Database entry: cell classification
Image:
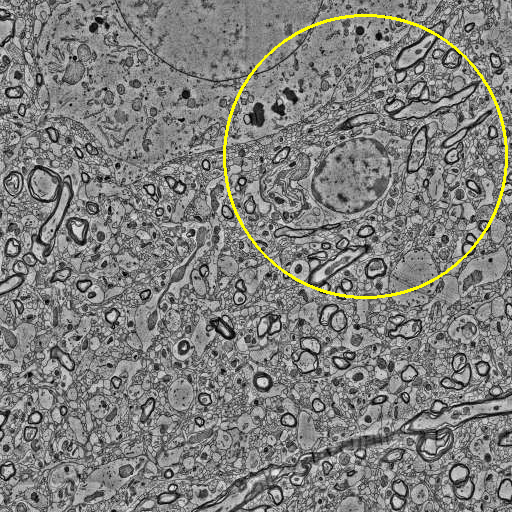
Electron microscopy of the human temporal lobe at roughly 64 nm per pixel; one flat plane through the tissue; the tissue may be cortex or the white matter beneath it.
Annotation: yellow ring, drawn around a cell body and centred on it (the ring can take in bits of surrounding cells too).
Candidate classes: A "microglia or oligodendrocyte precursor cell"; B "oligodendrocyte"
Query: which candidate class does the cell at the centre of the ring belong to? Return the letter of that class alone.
A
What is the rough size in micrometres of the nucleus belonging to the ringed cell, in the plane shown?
In this plane, the nucleus of the cell at the centre of the ring measures about 5 by 4 micrometres.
